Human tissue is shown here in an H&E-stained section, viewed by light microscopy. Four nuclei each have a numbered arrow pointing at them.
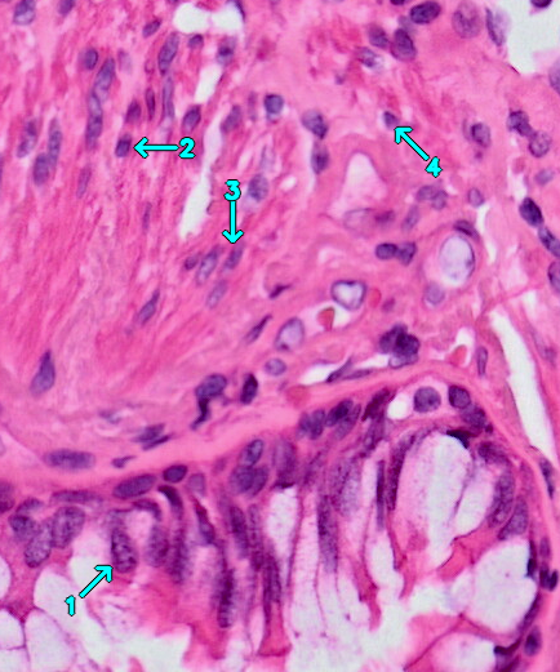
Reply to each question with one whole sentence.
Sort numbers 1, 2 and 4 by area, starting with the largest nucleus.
From largest to smallest, the order is 1, 2, 4.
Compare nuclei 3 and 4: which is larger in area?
Nucleus 3 is the larger one, covering about 1.5 times the area of nucleus 4.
